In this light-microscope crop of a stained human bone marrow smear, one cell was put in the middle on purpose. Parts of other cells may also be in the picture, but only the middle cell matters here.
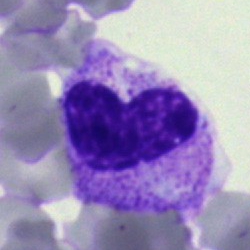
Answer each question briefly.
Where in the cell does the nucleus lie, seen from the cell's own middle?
upper left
